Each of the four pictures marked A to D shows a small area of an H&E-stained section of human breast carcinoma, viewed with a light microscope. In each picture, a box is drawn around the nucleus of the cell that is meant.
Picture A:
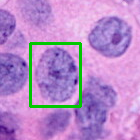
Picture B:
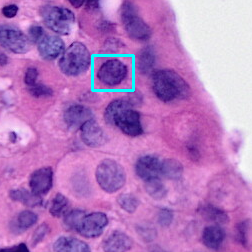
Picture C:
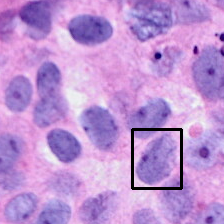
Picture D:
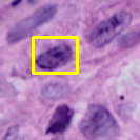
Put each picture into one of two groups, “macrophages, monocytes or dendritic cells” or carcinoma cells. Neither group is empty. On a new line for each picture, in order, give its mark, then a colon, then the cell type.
A: carcinoma cell
B: carcinoma cell
C: carcinoma cell
D: macrophage, monocyte or dendritic cell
